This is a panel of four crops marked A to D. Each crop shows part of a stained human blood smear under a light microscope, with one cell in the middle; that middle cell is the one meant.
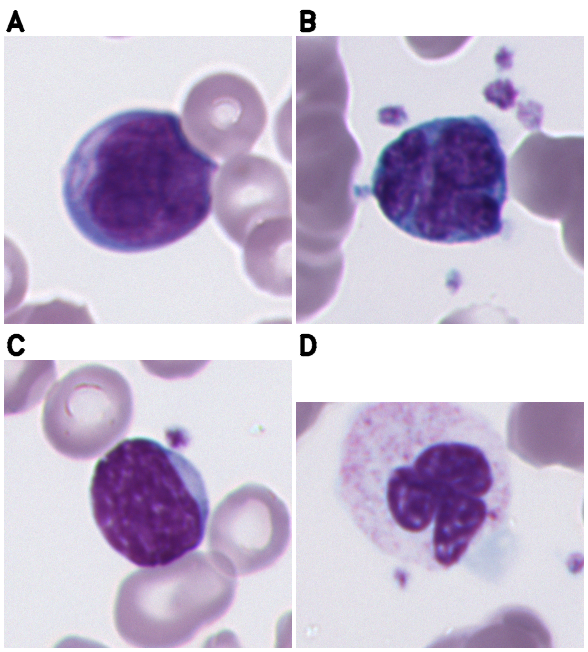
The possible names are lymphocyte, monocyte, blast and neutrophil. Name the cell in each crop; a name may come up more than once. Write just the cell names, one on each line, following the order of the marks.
blast
monocyte
lymphocyte
neutrophil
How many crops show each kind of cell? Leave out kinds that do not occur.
blast: 1
monocyte: 1
lymphocyte: 1
neutrophil: 1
